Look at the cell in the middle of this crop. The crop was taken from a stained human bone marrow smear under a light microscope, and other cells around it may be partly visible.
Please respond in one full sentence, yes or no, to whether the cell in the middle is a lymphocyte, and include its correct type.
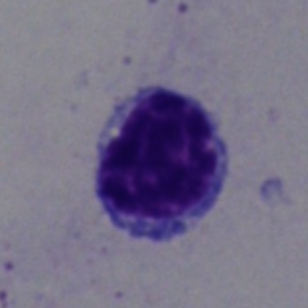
Yes, the cell in the middle of this smear crop is a lymphocyte.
